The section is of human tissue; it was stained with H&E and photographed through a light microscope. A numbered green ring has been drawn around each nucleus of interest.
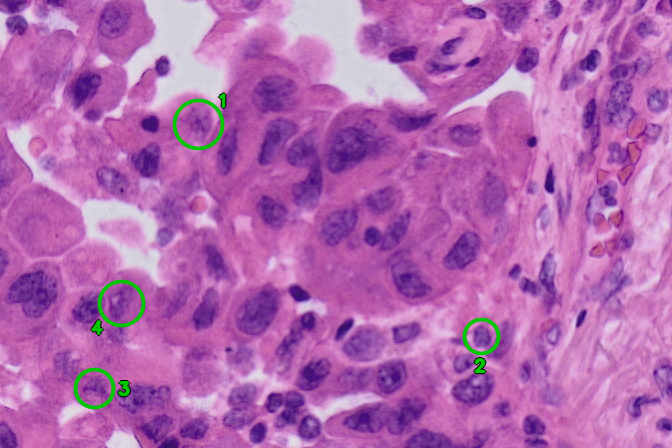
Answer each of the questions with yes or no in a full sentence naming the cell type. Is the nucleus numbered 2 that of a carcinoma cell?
No, at number 2 sits a lymphocyte, not a carcinoma cell.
